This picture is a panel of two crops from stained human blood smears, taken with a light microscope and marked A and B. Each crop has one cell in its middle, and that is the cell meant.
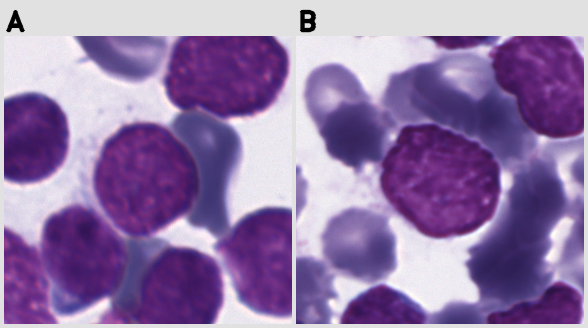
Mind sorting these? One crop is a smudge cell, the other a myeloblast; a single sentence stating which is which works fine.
Crop A shows a myeloblast, whereas crop B shows a smudge cell.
